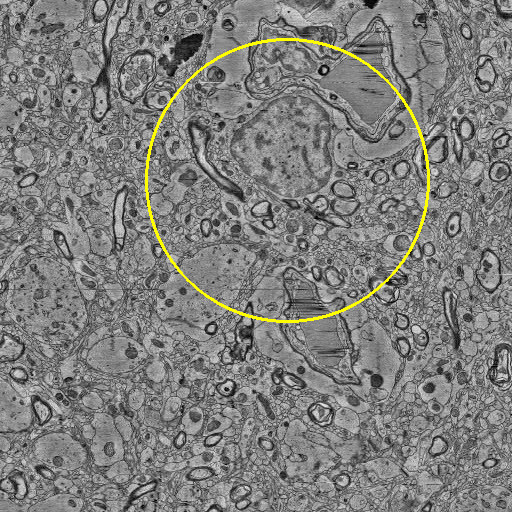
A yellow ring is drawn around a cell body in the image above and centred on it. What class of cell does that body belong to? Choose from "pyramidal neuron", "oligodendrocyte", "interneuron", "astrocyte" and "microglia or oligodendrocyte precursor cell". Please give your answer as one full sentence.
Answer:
The yellow ring above is centred on the cell body of an oligodendrocyte.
